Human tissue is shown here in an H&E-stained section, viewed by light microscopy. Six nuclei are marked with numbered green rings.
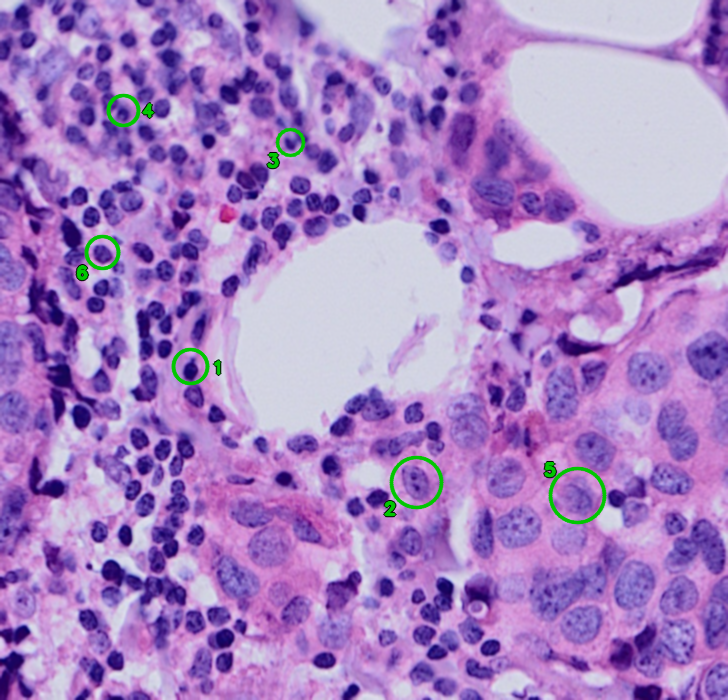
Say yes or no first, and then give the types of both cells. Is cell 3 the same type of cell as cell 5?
No, a carcinoma cell is what cell 5 is, while cell 3 is a lymphocyte.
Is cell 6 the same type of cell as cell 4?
Yes, it is true that cells 6 and 4 are both lymphocytes.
